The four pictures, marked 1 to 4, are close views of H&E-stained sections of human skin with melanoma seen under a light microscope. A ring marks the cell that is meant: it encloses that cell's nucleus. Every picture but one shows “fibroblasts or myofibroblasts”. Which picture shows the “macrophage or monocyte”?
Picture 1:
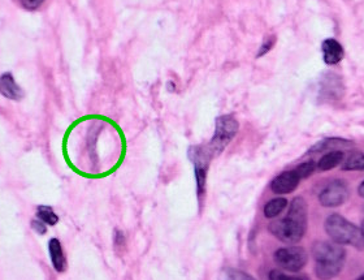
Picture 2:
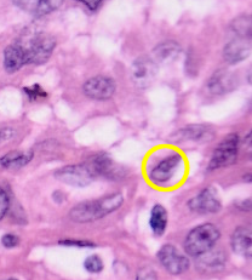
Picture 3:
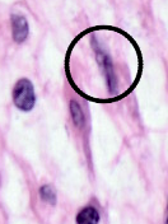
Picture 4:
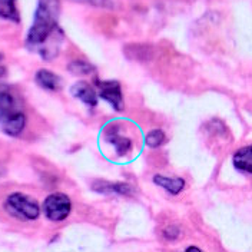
2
